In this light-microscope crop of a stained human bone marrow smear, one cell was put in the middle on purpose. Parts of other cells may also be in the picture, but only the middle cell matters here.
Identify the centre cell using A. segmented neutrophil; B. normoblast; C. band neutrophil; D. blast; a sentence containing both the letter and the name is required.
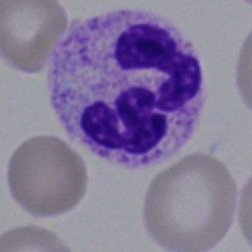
The correct option, A, names the middle cell as a segmented neutrophil.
